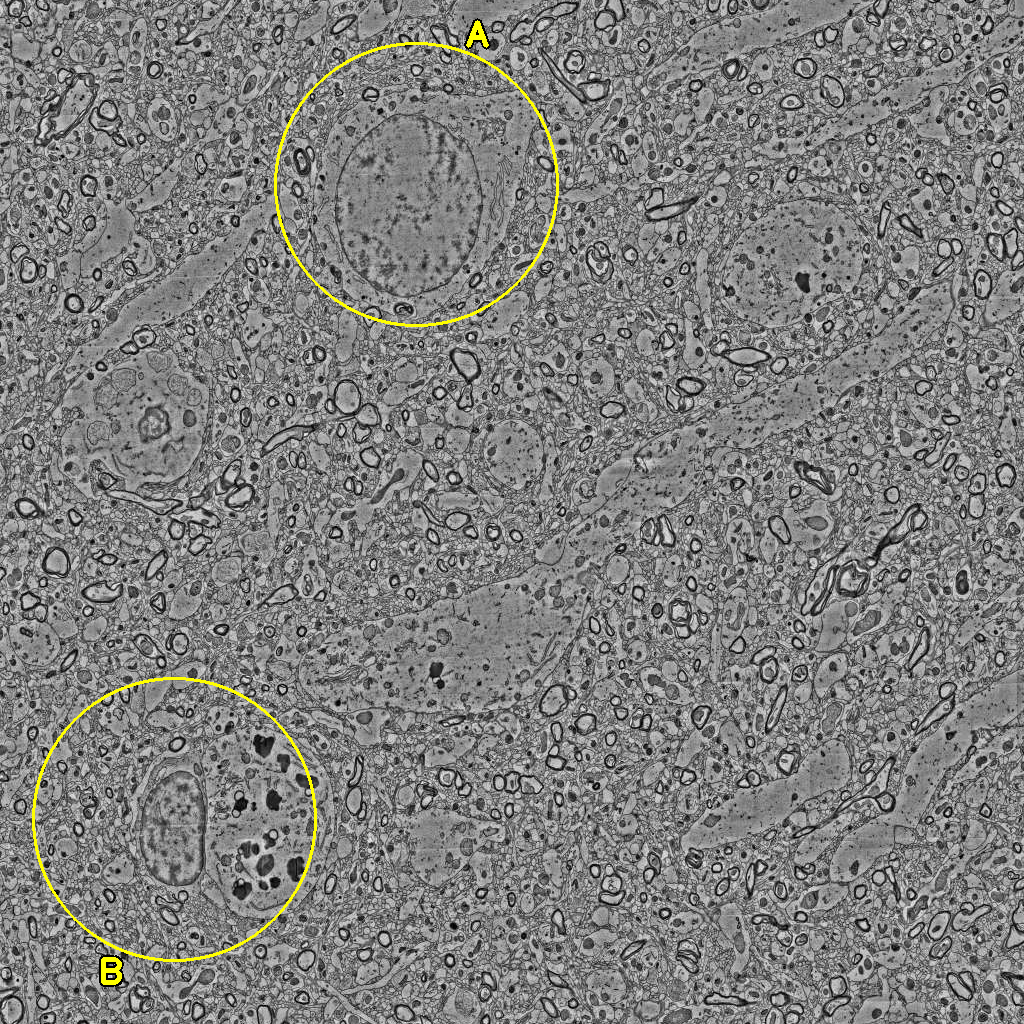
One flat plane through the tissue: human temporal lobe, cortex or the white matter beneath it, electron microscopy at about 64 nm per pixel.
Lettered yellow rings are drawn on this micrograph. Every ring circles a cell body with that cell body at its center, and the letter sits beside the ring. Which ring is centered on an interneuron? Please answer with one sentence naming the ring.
Ring A has it at its center.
